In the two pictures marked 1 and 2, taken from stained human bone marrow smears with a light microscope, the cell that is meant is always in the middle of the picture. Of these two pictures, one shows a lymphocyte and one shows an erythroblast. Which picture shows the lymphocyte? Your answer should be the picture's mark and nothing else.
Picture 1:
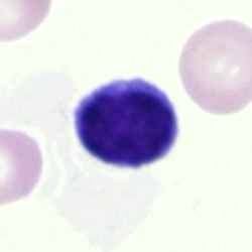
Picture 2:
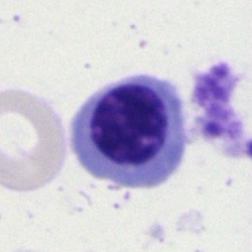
1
